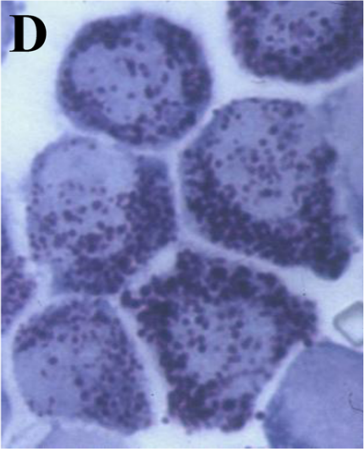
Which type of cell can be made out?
Mast cells.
